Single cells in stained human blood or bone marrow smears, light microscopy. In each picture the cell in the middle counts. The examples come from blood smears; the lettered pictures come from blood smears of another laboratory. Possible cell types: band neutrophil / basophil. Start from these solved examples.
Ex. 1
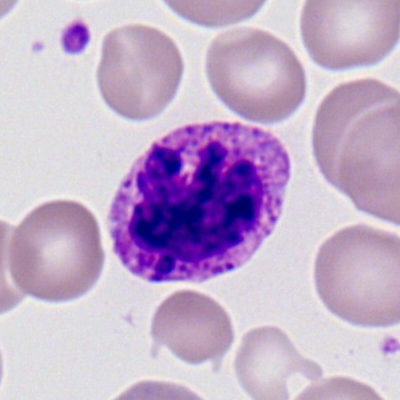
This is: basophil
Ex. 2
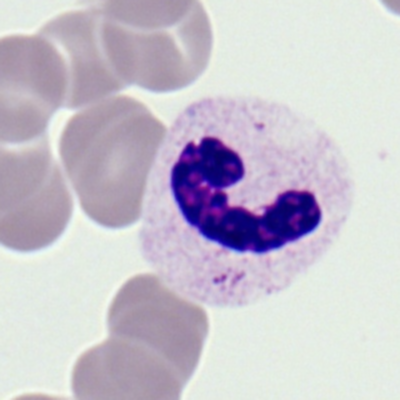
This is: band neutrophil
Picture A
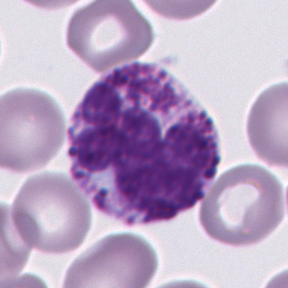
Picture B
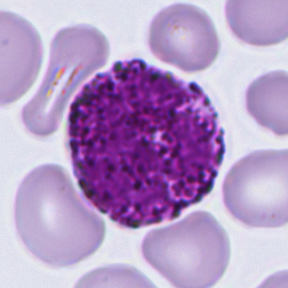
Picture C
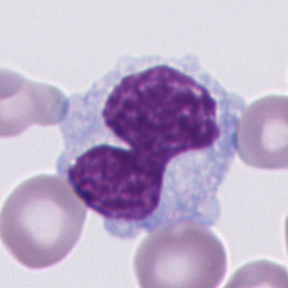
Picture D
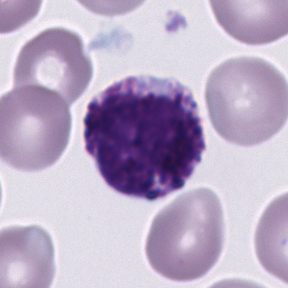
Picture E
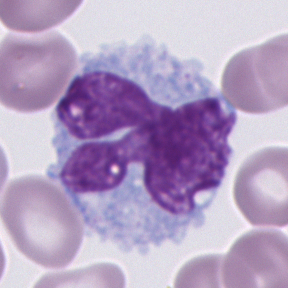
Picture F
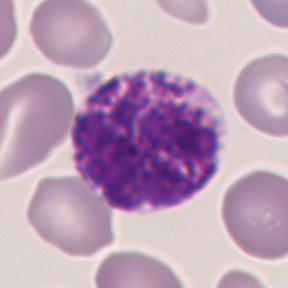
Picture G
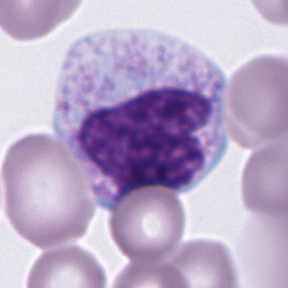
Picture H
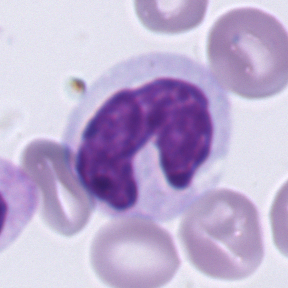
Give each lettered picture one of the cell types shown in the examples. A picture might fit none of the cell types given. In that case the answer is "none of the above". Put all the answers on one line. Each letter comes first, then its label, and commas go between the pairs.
A basophil, B basophil, C none of the above, D basophil, E none of the above, F basophil, G band neutrophil, H band neutrophil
